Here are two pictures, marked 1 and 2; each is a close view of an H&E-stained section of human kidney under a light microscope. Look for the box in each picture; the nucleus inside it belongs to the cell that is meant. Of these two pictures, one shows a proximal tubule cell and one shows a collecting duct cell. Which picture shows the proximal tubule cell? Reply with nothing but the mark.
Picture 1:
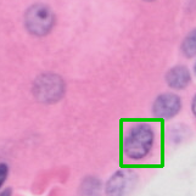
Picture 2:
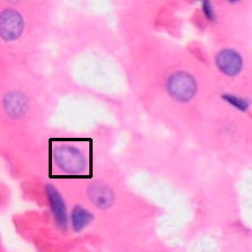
2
